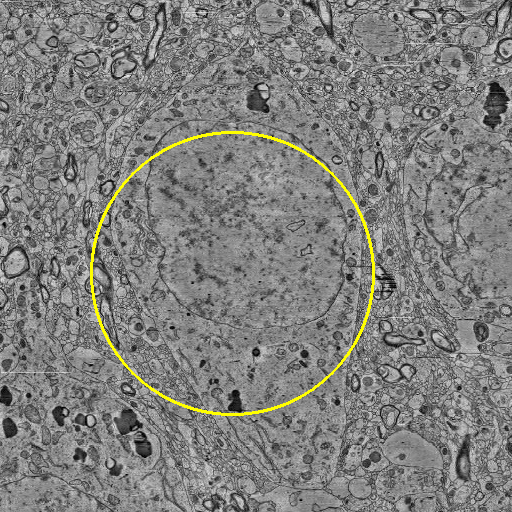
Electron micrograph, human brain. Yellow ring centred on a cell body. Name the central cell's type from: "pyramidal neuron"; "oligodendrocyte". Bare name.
pyramidal neuron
